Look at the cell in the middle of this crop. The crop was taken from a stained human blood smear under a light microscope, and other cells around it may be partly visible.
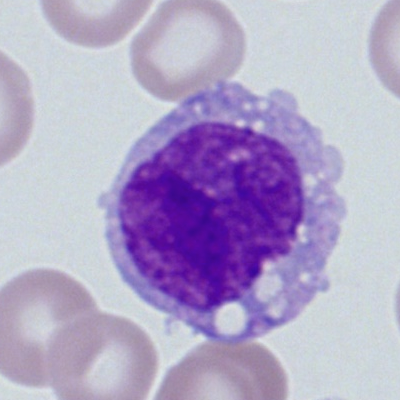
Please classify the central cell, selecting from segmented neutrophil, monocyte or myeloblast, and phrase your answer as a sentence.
The single cell at the center of the crop is a monocyte.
